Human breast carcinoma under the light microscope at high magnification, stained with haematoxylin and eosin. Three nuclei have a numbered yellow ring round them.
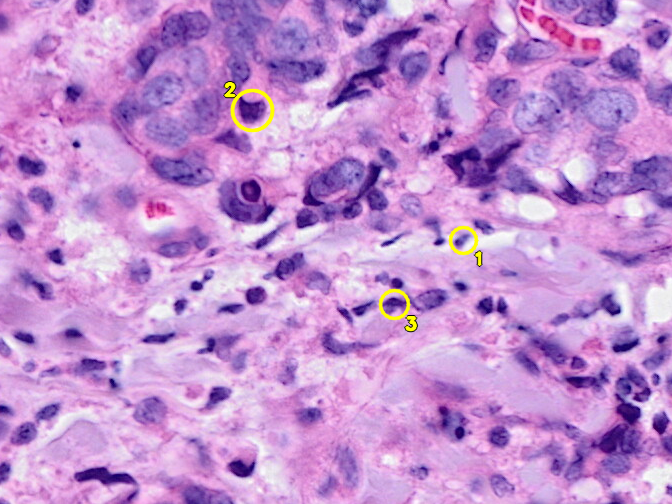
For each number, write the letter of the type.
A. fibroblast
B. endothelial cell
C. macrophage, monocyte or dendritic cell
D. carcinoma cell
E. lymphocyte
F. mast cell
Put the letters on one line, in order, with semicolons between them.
E; D; E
